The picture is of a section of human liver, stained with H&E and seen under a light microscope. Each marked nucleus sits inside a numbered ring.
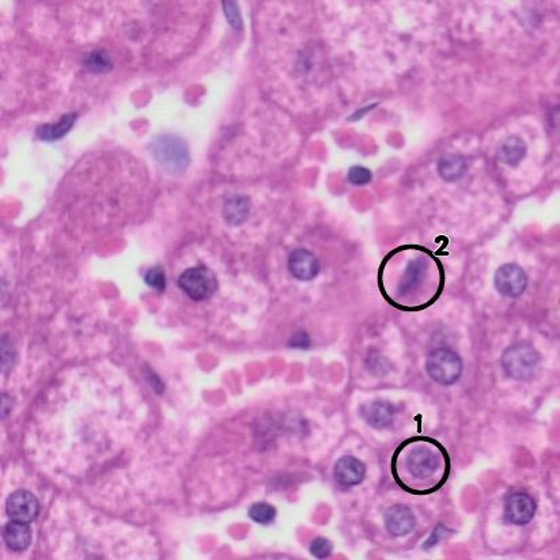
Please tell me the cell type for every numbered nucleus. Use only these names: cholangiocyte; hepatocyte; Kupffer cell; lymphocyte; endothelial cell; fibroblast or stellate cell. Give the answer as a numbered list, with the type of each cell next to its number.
1. hepatocyte
2. endothelial cell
